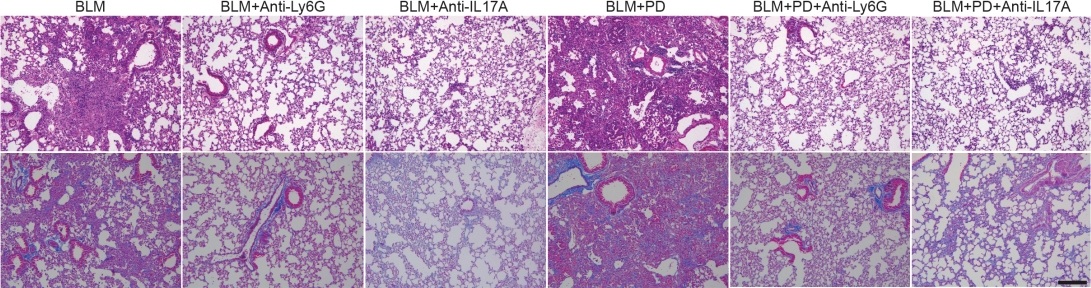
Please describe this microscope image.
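Low-magnification sections of lung parenchyma in a grid of twelve fields. The upper row is stained pink and purple, and the lower row in red-purple with blue. Thin-walled alveolar spaces form a lacy network, with scattered bronchioles and vessels ringed by denser pink walls. In several fields the alveolar spaces are lost in patches. There the tissue is crowded and solid, with many purple nuclei. In the lower row these dense patches and the walls around airways and vessels carry blue-stained fibrous material. Other fields show mostly open alveoli with thin septa and little blue.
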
